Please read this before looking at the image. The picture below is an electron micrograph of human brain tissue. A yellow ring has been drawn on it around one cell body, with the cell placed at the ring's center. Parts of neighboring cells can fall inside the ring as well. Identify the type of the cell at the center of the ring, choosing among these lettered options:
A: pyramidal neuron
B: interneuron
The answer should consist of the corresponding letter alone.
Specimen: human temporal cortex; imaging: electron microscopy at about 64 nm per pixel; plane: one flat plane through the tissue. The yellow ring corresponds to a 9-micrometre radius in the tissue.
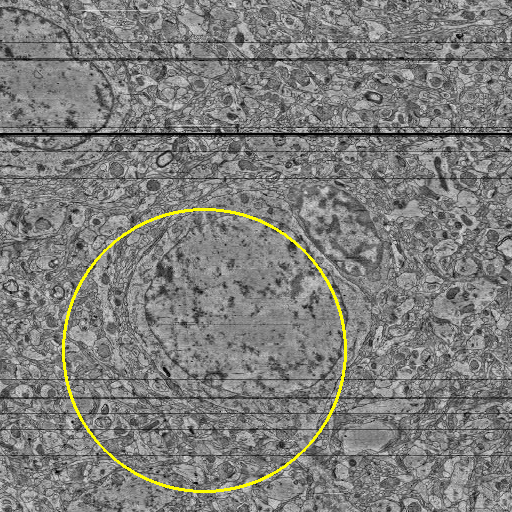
A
